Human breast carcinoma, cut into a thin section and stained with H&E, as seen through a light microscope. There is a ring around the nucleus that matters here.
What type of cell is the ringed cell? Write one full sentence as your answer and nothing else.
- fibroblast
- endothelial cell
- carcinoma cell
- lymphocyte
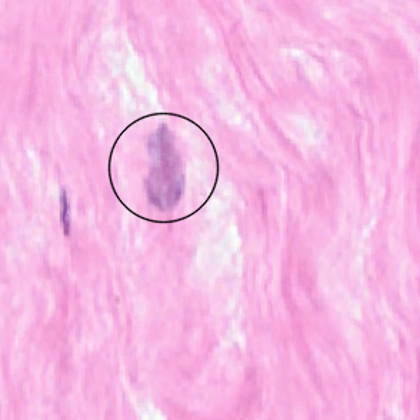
In this section of tissue, the ringed cell is a fibroblast.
